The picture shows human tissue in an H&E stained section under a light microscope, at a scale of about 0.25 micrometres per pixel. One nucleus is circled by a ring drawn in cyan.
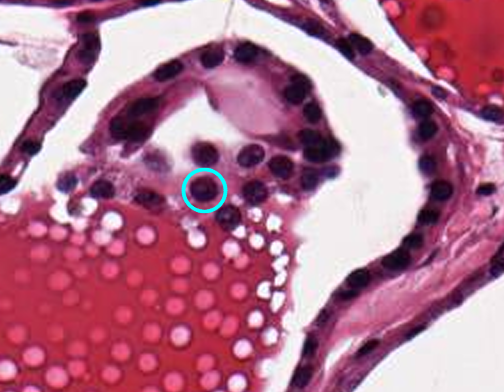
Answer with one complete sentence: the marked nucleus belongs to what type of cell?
Marked in this picture is the nucleus of a thyroid follicular cell.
